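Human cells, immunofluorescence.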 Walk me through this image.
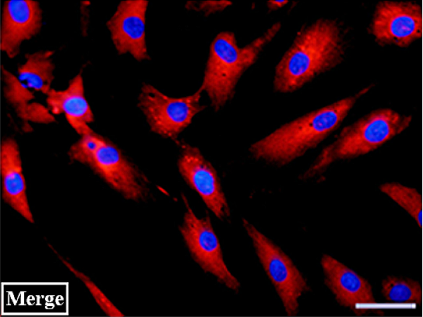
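The red stain fills the cytoplasm all around the nucleus and is slightly granular, thinning toward the cell edges. The cells vary from polygonal to elongated spindle shapes with a few short tapering extensions, and they do not form a continuous layer.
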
